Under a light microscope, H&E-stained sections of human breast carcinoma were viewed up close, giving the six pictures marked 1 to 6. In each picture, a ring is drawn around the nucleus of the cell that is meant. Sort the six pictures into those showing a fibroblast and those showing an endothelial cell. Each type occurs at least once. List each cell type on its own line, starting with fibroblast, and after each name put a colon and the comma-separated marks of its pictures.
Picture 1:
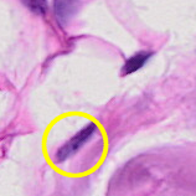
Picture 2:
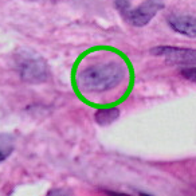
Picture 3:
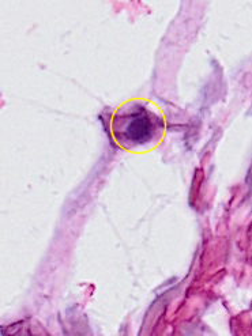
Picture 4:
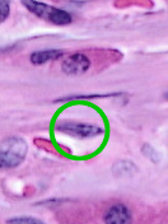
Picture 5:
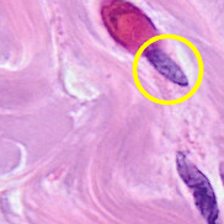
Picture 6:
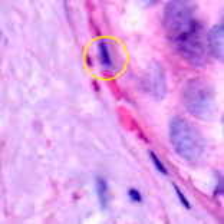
fibroblast: 1, 5
endothelial cell: 2, 3, 4, 6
